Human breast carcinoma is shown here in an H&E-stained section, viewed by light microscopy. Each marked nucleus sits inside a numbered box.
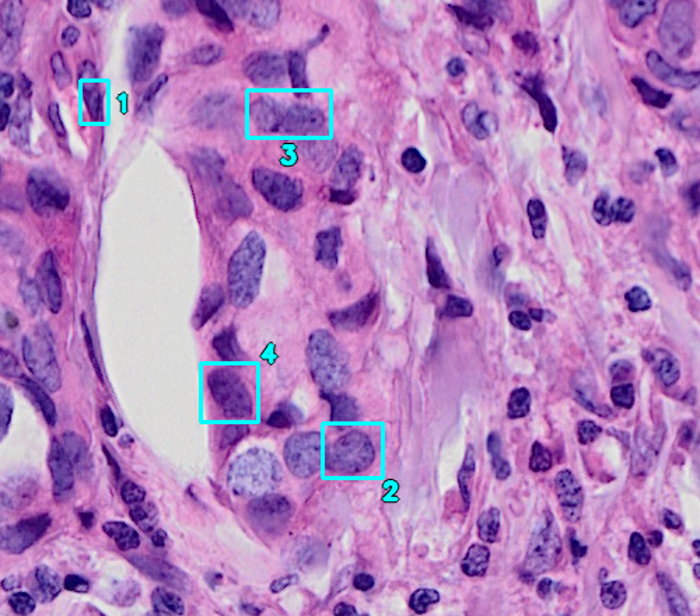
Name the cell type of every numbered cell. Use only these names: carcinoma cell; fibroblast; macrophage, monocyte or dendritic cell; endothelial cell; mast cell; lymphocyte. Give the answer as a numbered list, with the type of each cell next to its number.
1. endothelial cell
2. carcinoma cell
3. carcinoma cell
4. carcinoma cell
